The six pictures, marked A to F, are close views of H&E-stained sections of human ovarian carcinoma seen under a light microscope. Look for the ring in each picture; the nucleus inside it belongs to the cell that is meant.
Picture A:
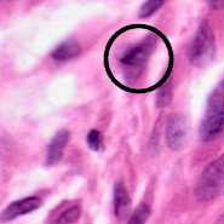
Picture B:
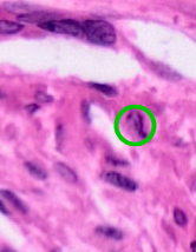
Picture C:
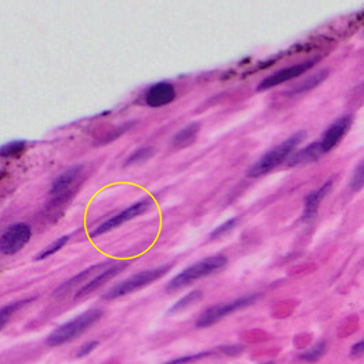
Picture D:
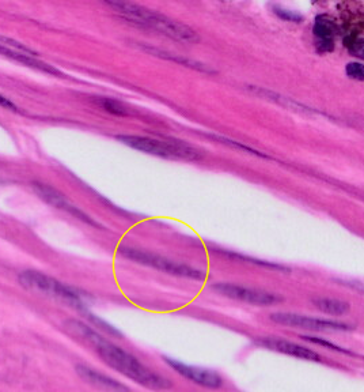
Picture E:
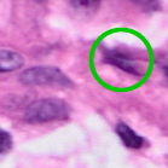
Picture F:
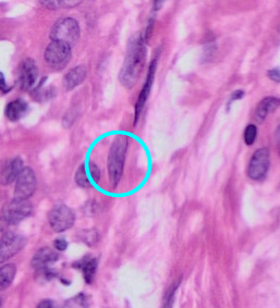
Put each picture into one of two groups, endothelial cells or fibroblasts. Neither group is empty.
A: fibroblast
B: fibroblast
C: fibroblast
D: fibroblast
E: endothelial cell
F: endothelial cell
